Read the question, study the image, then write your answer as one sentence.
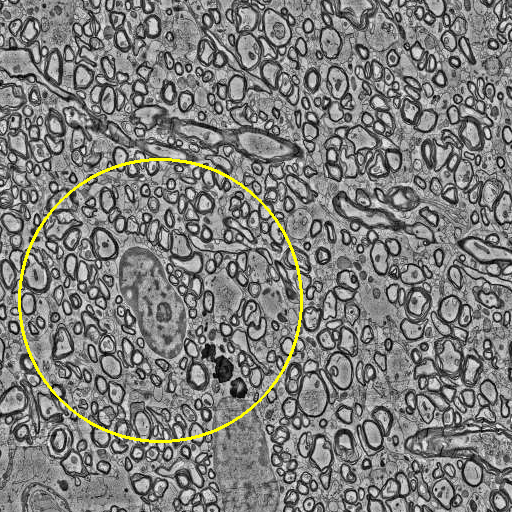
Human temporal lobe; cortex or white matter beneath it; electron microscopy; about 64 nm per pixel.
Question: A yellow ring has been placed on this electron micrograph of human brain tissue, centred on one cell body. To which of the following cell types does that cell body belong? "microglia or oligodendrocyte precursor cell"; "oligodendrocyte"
That cell body belongs to a microglial cell or oligodendrocyte precursor cell.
